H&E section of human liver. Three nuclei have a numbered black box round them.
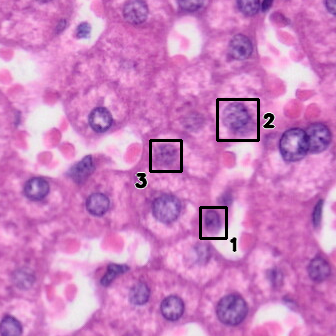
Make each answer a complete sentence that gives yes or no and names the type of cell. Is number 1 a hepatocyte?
No, the cell that carries number 1 is a Kupffer cell, not a hepatocyte.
